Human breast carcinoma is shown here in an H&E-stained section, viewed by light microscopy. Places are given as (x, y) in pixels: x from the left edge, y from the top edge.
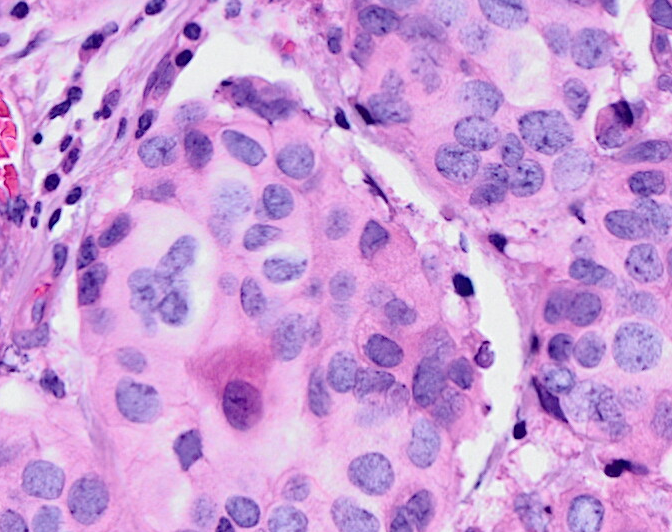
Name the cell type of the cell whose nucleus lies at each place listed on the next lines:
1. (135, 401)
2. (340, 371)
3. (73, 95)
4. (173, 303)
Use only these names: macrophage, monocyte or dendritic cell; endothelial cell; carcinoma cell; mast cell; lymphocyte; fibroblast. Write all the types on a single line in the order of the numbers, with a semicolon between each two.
carcinoma cell; carcinoma cell; lymphocyte; carcinoma cell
